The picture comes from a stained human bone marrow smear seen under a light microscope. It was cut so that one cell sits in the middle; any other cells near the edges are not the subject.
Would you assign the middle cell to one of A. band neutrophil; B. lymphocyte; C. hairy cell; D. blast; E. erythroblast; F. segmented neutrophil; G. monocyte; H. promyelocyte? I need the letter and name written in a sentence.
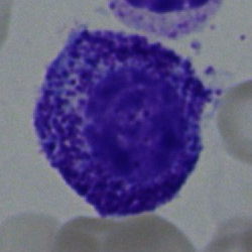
Option H is to be chosen, as the central cell is a promyelocyte.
